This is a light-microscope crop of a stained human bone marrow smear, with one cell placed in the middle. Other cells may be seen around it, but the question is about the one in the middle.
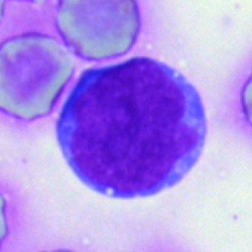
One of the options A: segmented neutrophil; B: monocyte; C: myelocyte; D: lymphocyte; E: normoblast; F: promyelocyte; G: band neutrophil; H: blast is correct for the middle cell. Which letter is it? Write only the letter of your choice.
H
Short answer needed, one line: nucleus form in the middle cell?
Have a look at the nucleus, which is one compact mass, round, oval or kidney-shaped.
